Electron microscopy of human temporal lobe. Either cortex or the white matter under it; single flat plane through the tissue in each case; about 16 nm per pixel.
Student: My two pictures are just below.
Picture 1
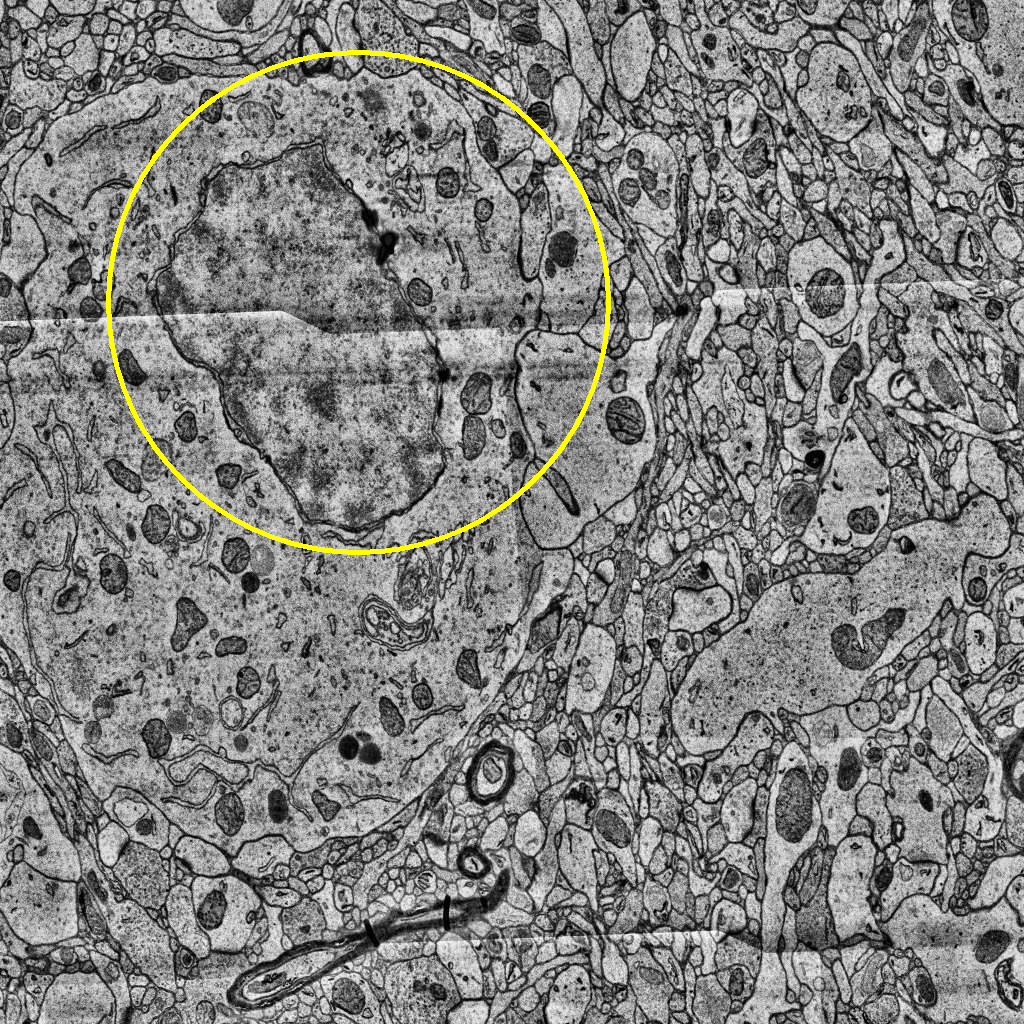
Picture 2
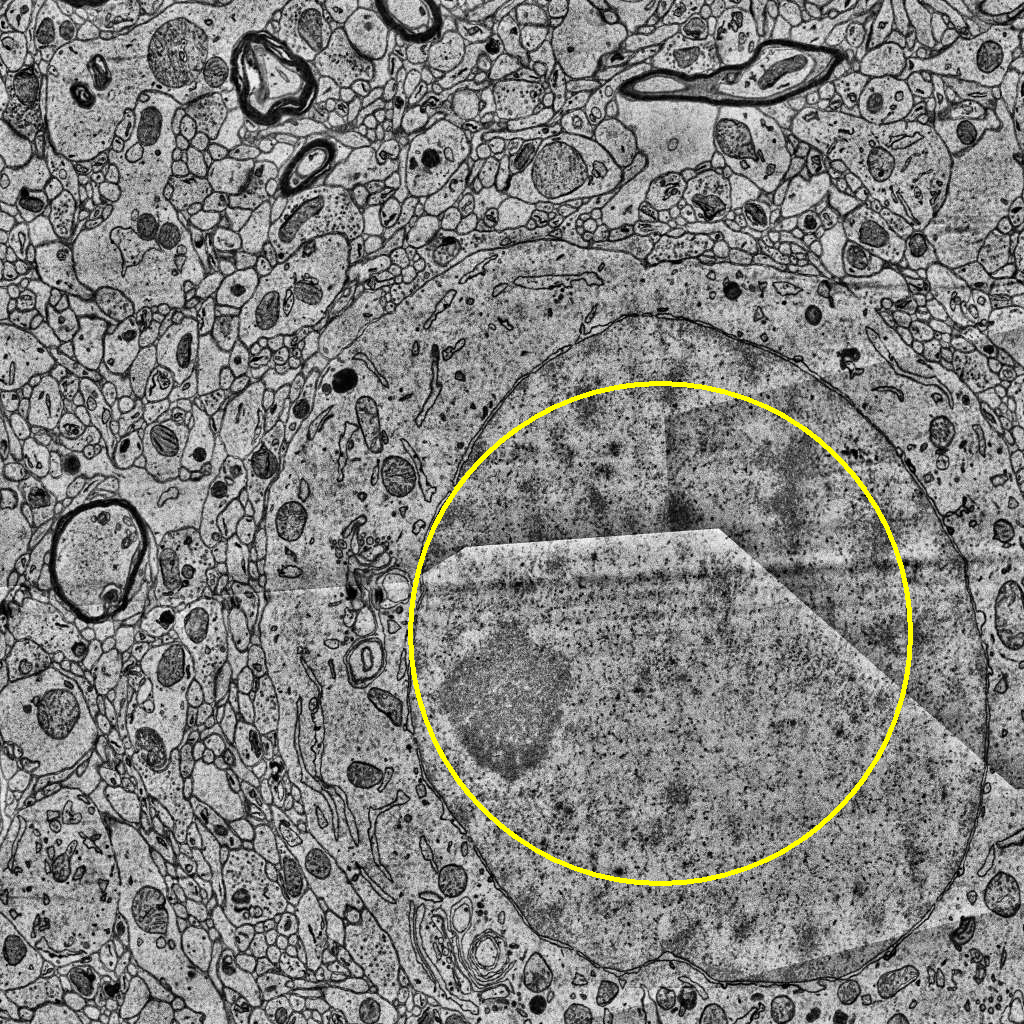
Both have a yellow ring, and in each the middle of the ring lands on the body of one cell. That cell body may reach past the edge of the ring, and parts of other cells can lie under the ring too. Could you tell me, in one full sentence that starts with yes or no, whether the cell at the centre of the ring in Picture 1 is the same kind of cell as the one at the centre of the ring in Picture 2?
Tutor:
Yes, the two cells are of the same kind.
